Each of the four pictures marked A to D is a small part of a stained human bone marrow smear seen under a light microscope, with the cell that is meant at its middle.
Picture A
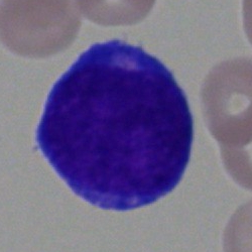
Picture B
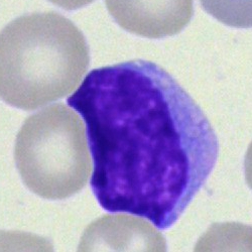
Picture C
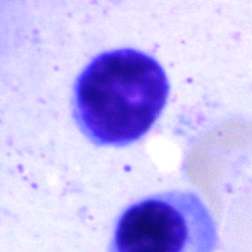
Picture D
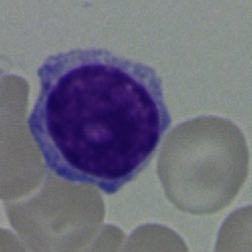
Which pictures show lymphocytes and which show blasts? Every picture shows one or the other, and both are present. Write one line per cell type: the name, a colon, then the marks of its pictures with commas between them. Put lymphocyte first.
lymphocyte: C, D
blast: A, B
